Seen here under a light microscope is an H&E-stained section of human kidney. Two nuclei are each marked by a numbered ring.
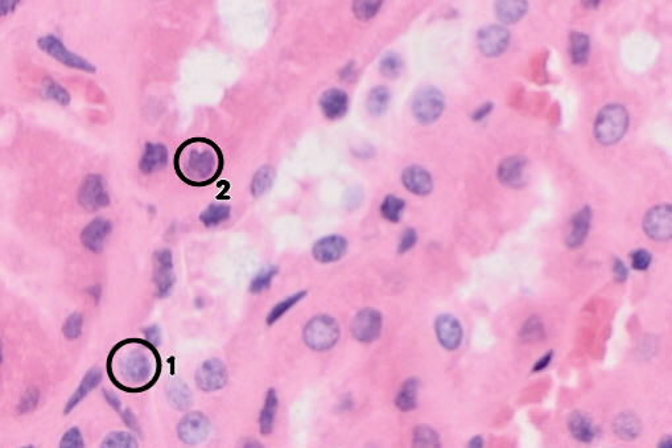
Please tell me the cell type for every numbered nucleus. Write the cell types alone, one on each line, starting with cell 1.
loop of Henle or distal tubule cell
proximal tubule cell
